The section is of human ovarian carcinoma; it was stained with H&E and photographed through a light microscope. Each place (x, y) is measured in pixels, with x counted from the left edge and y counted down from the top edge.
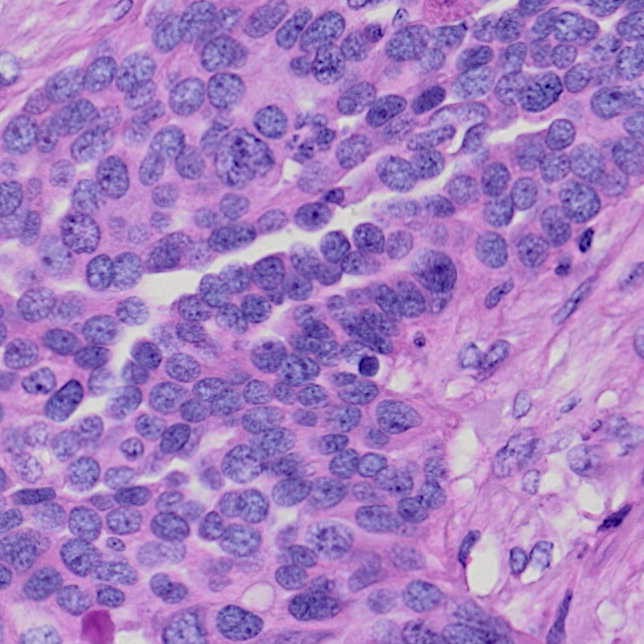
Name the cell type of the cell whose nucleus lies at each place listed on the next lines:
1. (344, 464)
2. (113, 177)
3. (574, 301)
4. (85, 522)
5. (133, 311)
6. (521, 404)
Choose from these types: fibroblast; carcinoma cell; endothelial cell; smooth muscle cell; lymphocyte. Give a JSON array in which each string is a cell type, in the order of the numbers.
["carcinoma cell", "carcinoma cell", "fibroblast", "carcinoma cell", "carcinoma cell", "fibroblast"]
